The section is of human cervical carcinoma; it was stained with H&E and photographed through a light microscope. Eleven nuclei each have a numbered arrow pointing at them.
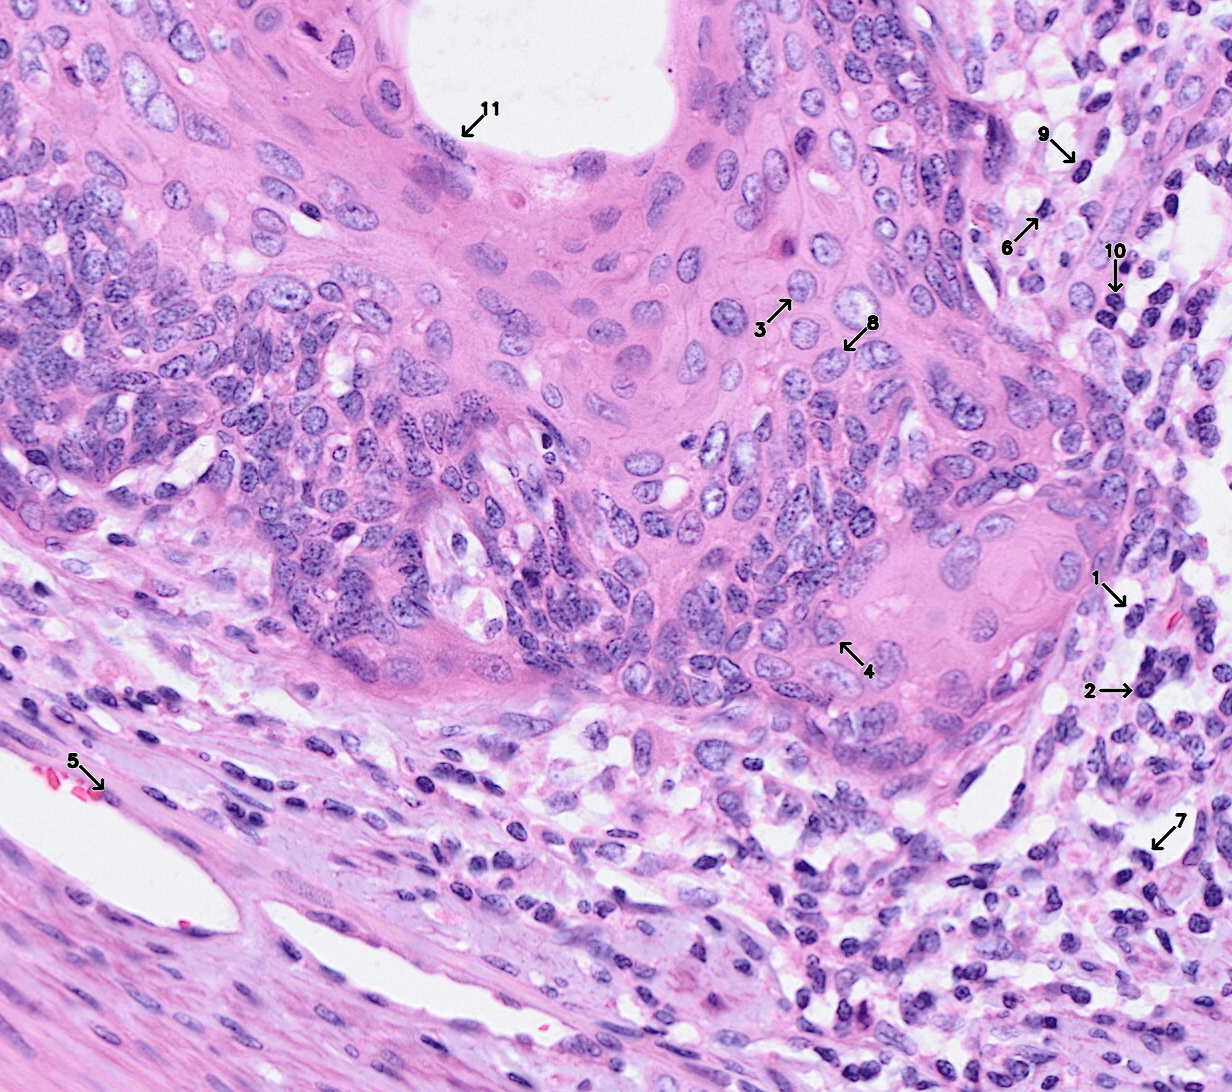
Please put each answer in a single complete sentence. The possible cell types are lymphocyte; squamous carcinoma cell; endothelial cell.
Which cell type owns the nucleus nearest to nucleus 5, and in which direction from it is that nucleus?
Just to the right of nucleus 5 lies the nearest nucleus, which belongs to a lymphocyte.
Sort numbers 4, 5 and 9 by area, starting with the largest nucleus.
By area, largest first, they run 4, 9, 5.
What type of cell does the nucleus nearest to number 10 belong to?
The nucleus nearest to number 10 is that of a lymphocyte.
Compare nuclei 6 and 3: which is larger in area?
It is nucleus 3, which covers about 2.5 times the area of nucleus 6.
